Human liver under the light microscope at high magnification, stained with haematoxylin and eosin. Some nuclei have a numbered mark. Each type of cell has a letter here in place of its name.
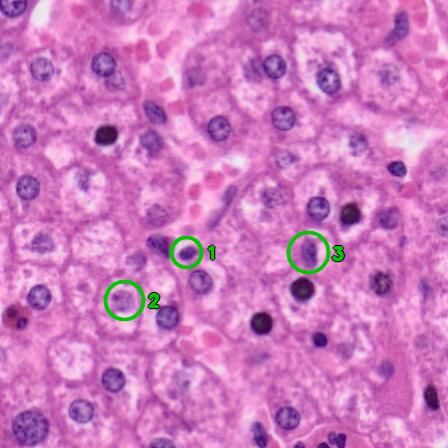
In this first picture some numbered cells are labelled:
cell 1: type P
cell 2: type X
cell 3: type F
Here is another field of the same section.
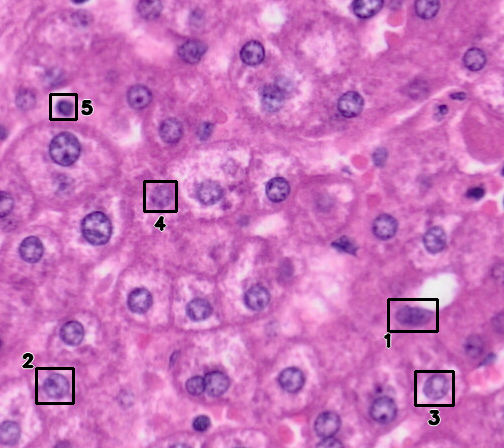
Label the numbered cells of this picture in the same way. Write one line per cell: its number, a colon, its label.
1: type F
2: type X
3: type X
4: type X
5: type P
